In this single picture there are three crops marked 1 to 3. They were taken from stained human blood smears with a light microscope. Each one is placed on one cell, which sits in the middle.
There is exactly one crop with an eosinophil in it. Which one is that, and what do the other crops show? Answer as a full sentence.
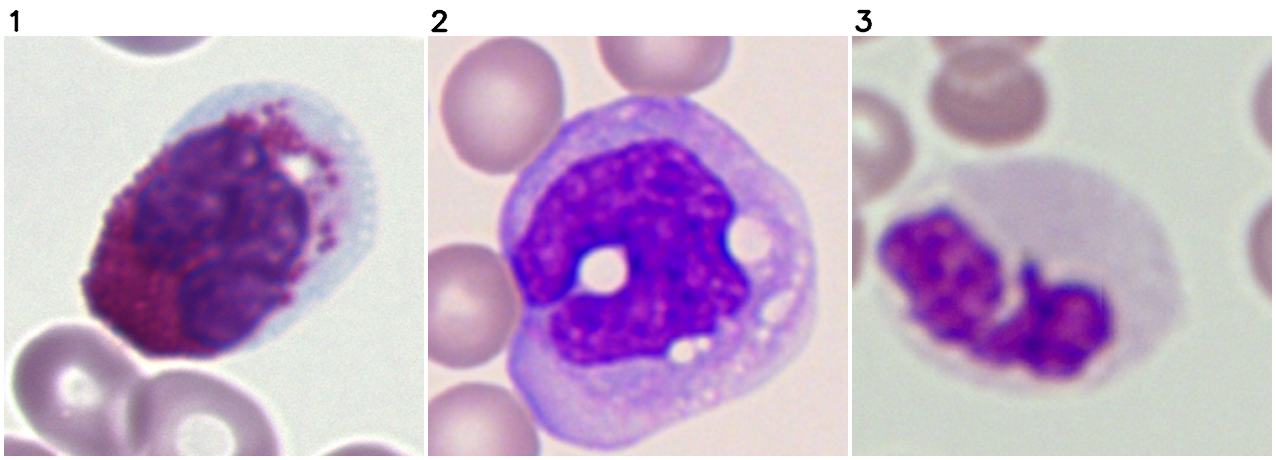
Crop 1 corresponds to an eosinophil, while crop 2 is a monocyte and crop 3 is a segmented neutrophil.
